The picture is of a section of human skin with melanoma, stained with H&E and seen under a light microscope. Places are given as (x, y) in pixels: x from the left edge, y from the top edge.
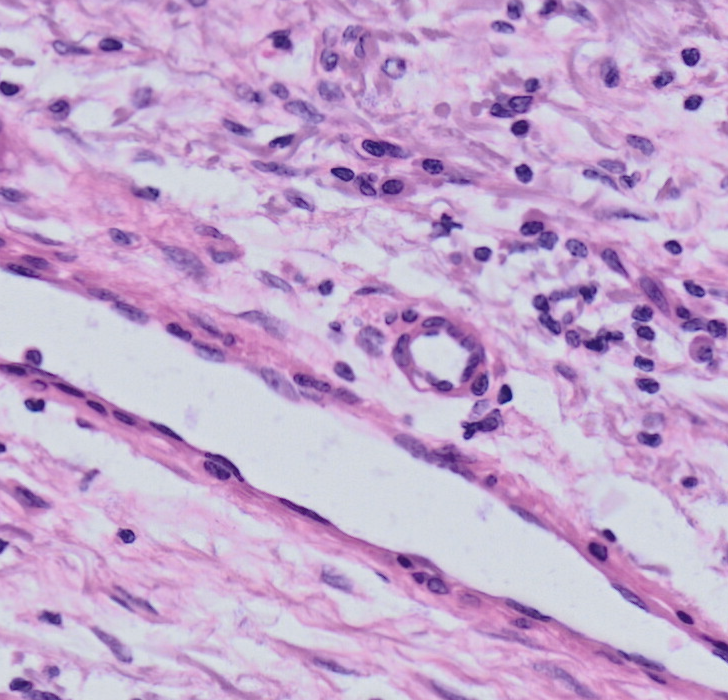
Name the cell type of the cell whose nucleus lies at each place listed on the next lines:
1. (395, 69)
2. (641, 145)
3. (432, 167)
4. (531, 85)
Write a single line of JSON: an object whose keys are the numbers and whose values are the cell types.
{"1": "fibroblast or myofibroblast", "2": "macrophage or monocyte", "3": "plasma cell", "4": "lymphocyte"}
